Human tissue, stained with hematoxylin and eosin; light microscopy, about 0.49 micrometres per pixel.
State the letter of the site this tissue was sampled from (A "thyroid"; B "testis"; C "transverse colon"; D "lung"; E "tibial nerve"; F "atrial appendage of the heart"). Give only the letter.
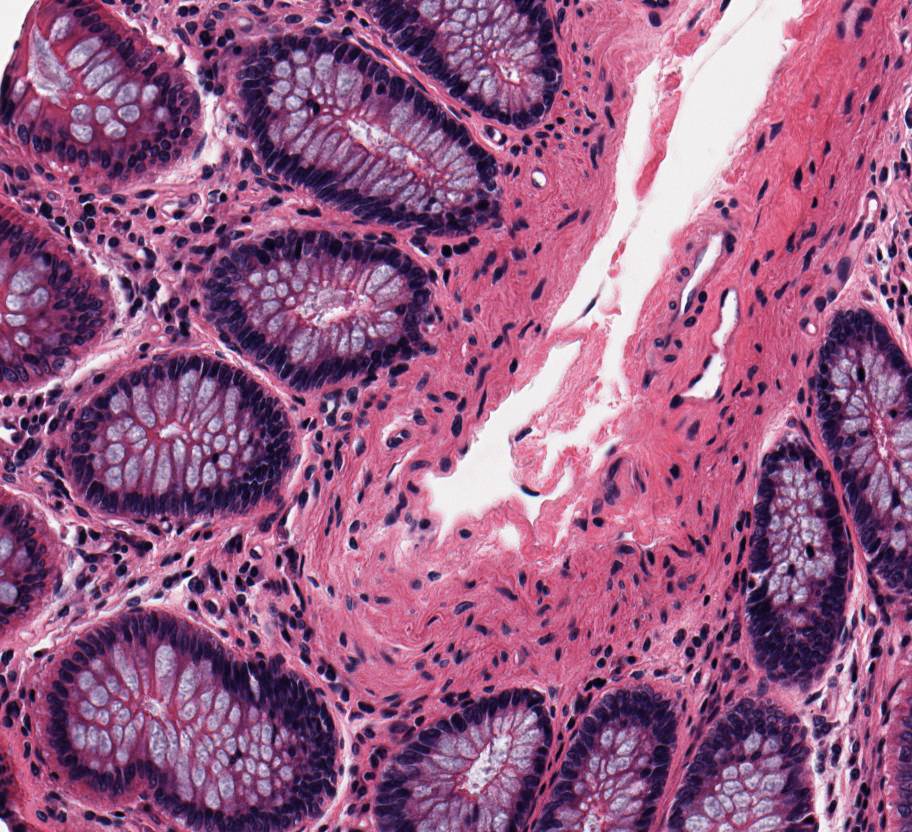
C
